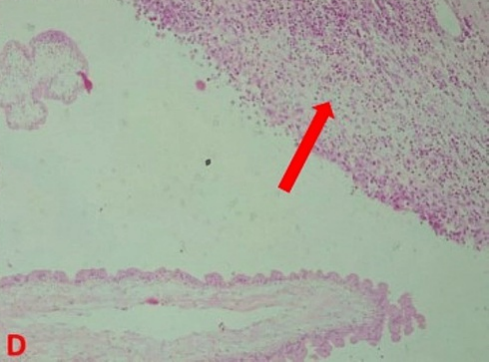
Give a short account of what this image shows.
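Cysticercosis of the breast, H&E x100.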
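A dense band of mixed inflammatory cell infiltrates occupies the upper right, made of many small, closely packed cells with dark purple nuclei and pink cytoplasm. Beside it lies a wide pale, nearly empty space, with a thin pink folded membrane with a scalloped edge along the bottom and a small pale fragment of amorphous material at the upper left.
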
